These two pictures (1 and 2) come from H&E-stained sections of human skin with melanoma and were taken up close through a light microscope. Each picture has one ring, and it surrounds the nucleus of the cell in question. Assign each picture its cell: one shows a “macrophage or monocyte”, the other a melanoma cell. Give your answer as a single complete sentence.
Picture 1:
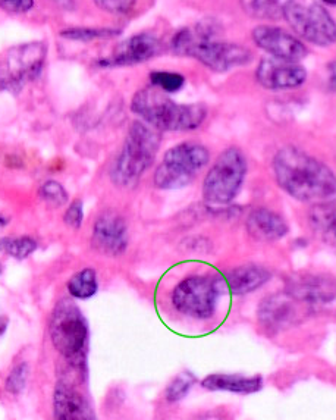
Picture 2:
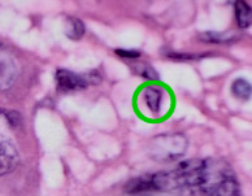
In picture 1 the cell is a melanoma cell; in picture 2, a “macrophage or monocyte”.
